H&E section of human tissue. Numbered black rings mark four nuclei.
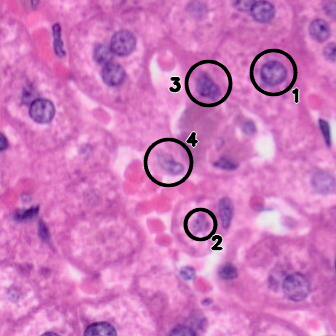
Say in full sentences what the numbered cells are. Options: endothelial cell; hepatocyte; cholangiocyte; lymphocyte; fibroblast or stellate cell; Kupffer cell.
Cells 1 and 2 are hepatocytes. Cell 3 is a fibroblast or stellate cell. Cell 4 is a Kupffer cell.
